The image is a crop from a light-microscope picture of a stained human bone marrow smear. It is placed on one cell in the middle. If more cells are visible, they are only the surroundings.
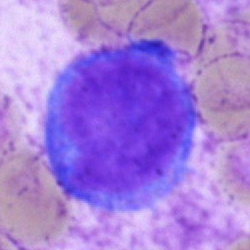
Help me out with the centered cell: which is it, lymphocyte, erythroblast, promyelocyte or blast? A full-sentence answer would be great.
Here the cell in the middle is a blast.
